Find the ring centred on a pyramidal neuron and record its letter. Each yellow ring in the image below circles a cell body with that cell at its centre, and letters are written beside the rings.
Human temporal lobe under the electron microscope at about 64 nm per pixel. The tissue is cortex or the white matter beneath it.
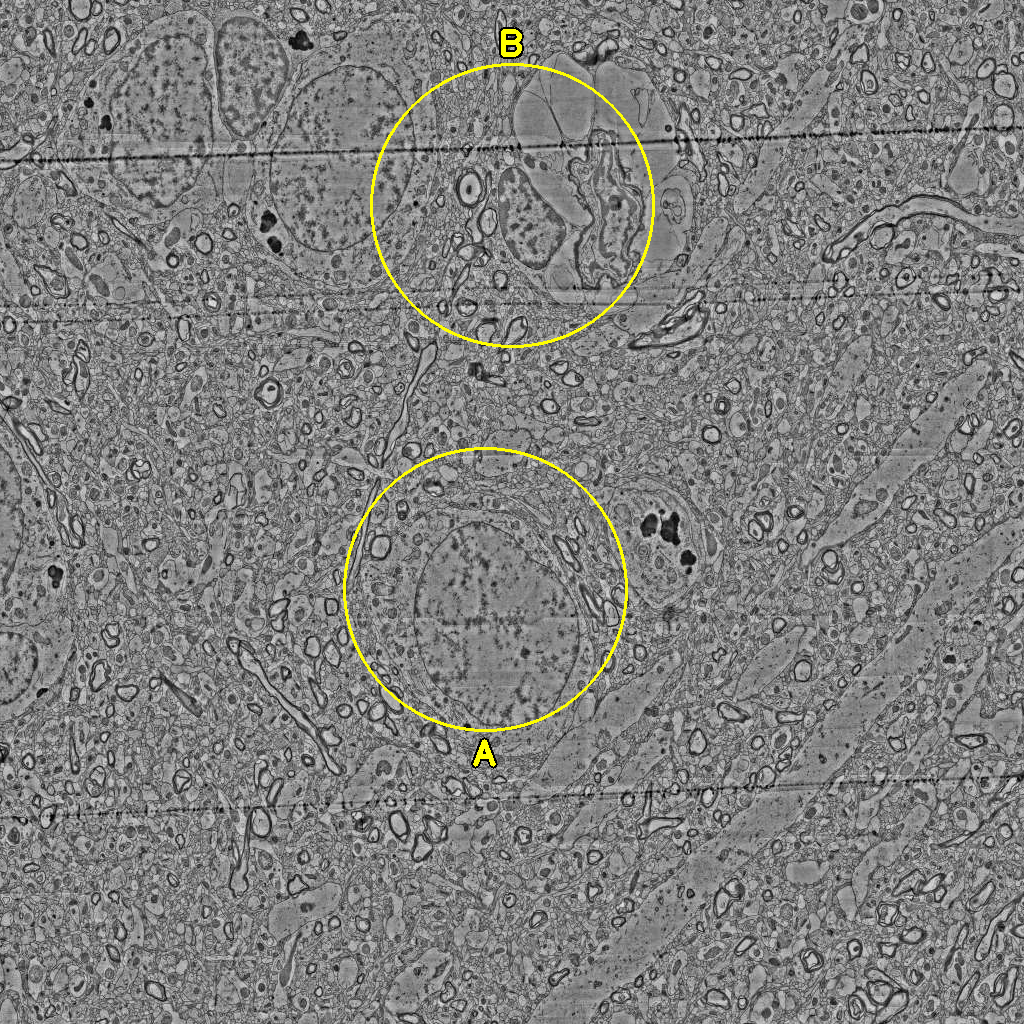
A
